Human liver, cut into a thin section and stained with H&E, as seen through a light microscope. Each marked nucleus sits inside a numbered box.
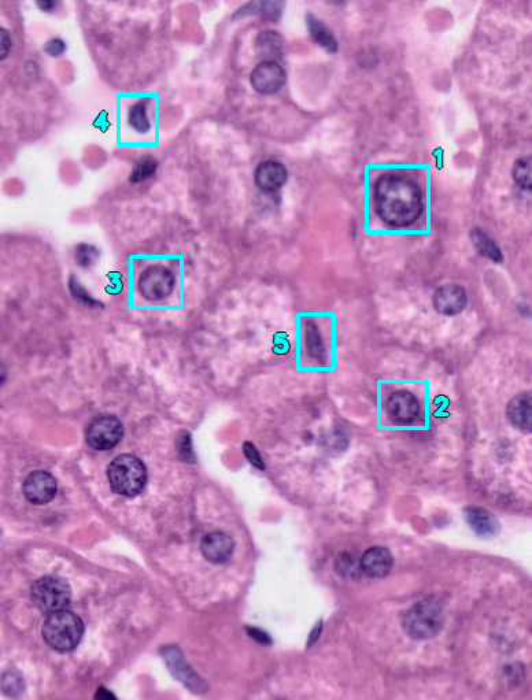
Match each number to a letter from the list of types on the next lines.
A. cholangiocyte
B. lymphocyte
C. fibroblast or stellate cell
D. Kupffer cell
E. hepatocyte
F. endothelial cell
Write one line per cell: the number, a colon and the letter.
1: E
2: E
3: E
4: B
5: C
